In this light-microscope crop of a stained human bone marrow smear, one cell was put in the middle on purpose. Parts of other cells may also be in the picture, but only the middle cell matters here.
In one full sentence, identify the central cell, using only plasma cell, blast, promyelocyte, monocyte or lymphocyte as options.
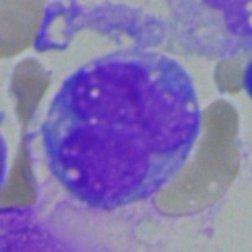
The cell positioned in the middle of the field is a monocyte.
